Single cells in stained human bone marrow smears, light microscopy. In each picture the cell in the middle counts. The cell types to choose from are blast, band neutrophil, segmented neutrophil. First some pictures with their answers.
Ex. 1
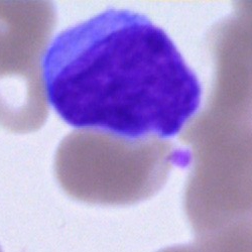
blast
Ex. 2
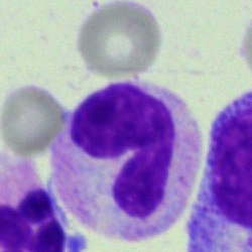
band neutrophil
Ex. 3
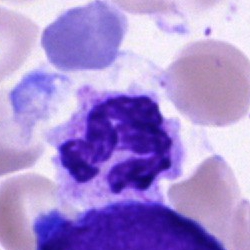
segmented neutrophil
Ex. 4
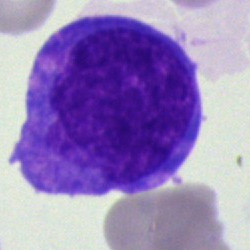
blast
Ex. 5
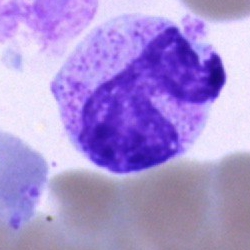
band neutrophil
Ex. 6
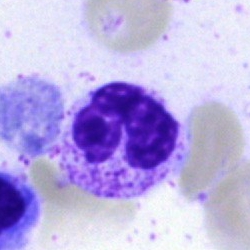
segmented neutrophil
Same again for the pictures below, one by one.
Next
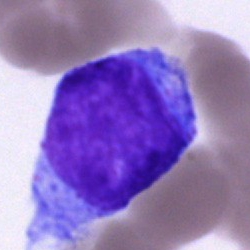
blast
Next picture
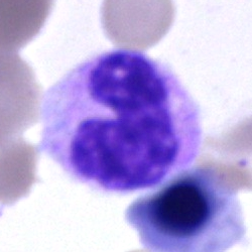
band neutrophil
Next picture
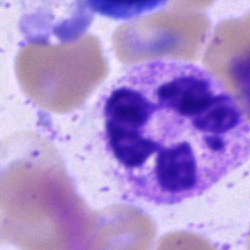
segmented neutrophil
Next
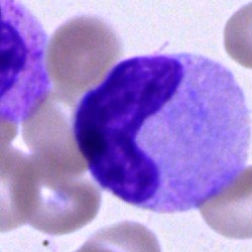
band neutrophil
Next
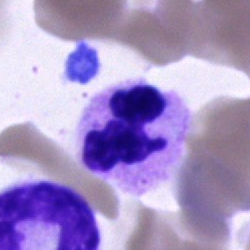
segmented neutrophil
